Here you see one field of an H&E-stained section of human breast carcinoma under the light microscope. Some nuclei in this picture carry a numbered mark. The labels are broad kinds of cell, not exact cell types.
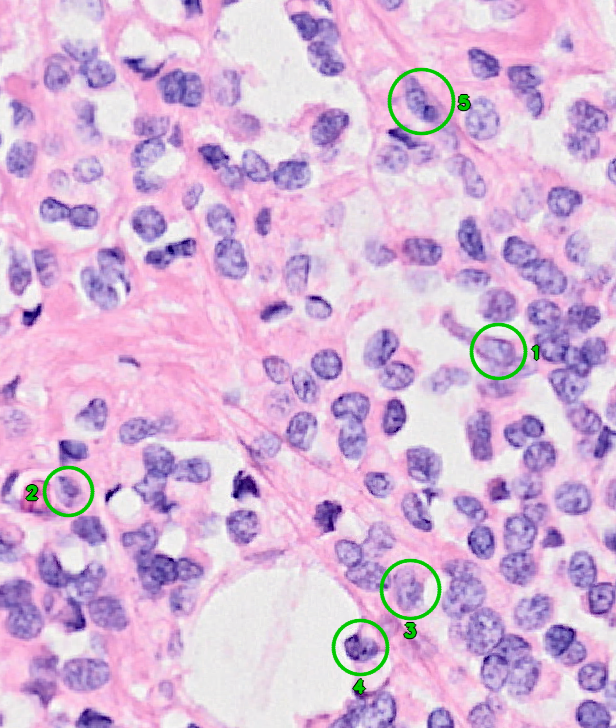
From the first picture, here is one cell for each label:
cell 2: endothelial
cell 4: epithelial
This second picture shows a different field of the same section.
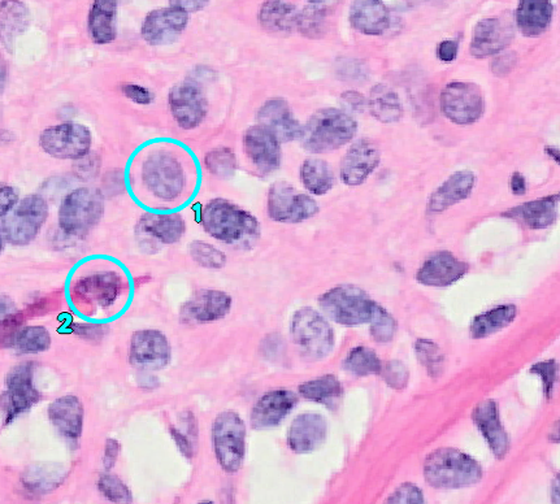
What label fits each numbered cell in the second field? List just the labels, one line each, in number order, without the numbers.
epithelial
endothelial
